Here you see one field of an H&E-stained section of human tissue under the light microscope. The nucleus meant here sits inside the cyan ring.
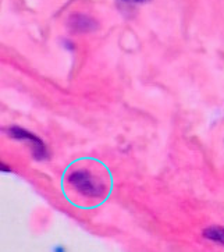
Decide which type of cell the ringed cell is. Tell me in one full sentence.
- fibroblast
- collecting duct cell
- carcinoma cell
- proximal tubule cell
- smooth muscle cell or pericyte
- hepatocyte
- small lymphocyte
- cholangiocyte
Histopathologically, the ringed cell is a smooth muscle cell or pericyte.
